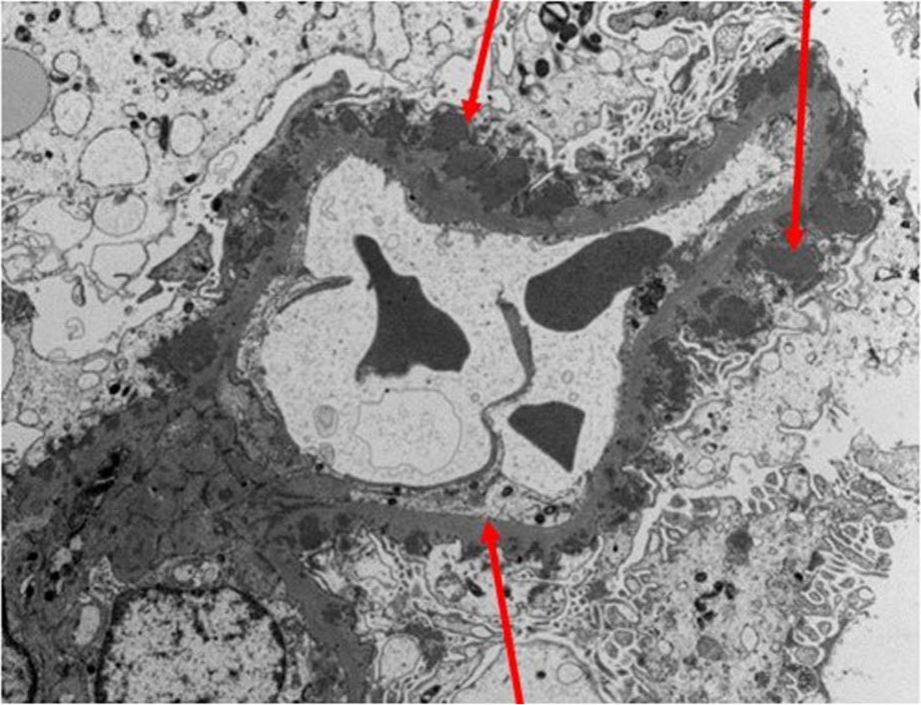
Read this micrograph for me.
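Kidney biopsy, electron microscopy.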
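A glomerular capillary loop is seen in cross-section, with several dark red blood cells lying in a pale lumen lined by thin endothelial cytoplasm. The overlying podocyte cytoplasm in many places spreads as a continuous sheet over the wall instead of forming separate small foot processes, indicating foot process effacement. A cell nucleus lies at the lower left.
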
